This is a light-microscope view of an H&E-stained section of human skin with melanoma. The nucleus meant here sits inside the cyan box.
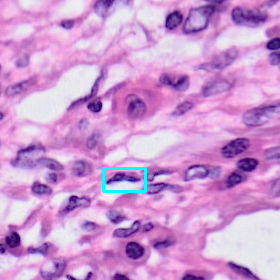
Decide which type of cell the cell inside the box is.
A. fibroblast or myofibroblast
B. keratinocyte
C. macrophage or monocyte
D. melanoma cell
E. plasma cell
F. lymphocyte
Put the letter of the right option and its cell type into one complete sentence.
It is correct to say that the cell inside the box is a fibroblast or myofibroblast, as option A does.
